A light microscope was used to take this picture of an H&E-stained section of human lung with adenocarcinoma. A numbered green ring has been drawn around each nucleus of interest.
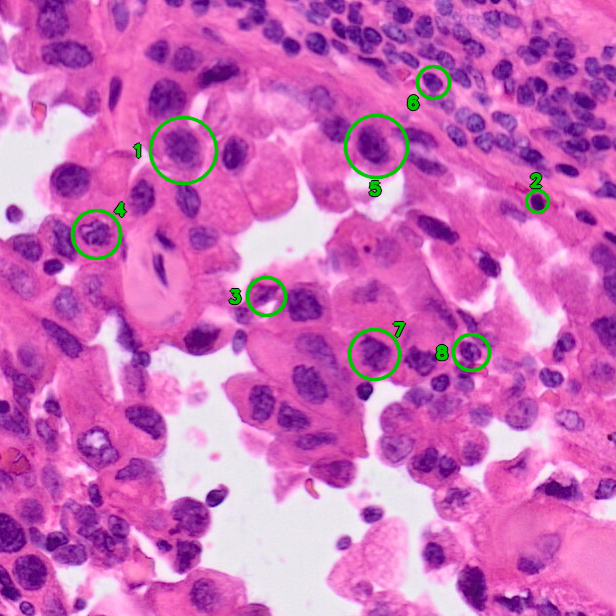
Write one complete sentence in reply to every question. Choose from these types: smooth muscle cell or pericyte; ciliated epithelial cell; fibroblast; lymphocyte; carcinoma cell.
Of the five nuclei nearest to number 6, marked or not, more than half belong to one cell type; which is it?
The majority of the five nuclei closest to number 6 belong to lymphocytes.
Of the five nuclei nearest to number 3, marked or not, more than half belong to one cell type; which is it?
Carcinoma cells account for more than half of the five nuclei nearest to number 3.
